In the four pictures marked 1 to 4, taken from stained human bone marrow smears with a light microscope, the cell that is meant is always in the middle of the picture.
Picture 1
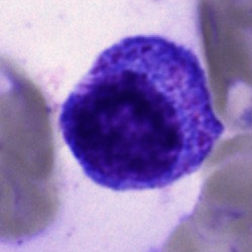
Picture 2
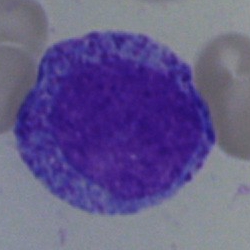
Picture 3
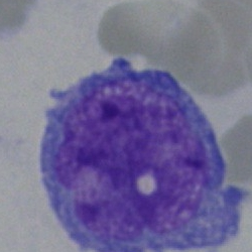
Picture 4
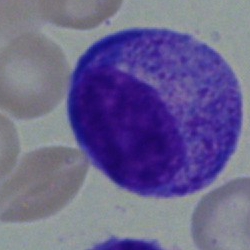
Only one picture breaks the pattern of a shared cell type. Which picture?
3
